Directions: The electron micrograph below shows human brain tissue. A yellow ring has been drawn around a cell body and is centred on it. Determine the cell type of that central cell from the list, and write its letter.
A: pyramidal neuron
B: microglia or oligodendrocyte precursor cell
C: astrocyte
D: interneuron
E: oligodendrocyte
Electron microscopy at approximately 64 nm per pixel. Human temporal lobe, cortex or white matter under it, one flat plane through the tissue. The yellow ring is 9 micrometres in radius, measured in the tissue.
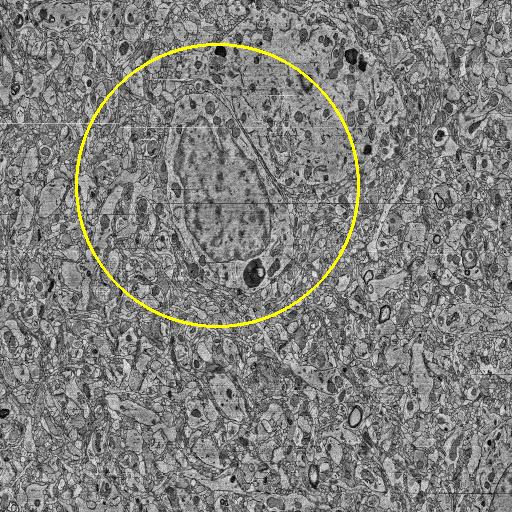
D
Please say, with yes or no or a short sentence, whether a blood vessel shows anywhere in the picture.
No.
